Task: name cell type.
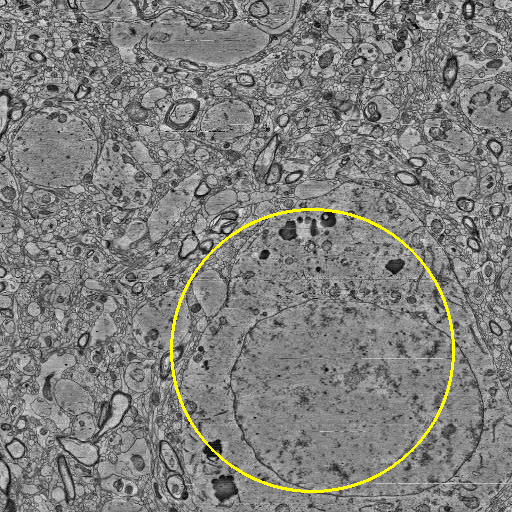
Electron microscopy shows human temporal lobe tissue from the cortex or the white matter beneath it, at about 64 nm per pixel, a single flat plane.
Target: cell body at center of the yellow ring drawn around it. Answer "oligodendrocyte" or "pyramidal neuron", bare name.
pyramidal neuron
